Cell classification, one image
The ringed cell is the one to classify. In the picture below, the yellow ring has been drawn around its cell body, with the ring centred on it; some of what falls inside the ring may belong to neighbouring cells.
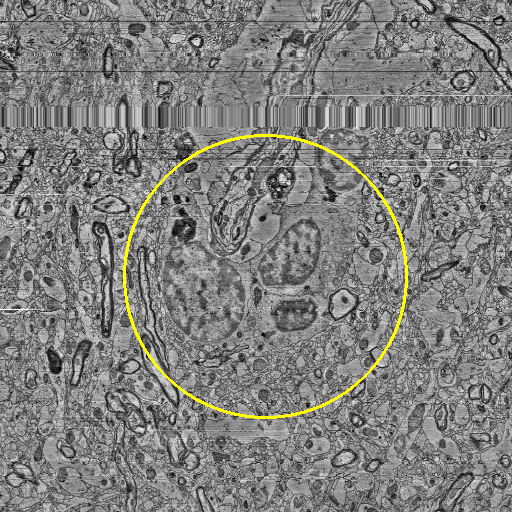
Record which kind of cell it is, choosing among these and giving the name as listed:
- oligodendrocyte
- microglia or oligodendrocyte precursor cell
oligodendrocyte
